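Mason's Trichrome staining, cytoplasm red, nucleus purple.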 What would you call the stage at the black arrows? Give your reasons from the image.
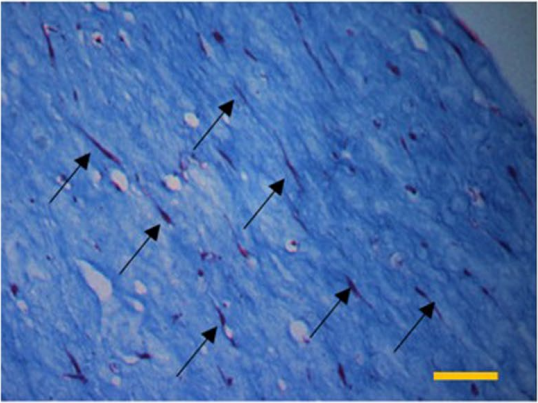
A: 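Aligned and elongated cells. The marked cells are slender and spindle-shaped. Most cells run in the same diagonal direction.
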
